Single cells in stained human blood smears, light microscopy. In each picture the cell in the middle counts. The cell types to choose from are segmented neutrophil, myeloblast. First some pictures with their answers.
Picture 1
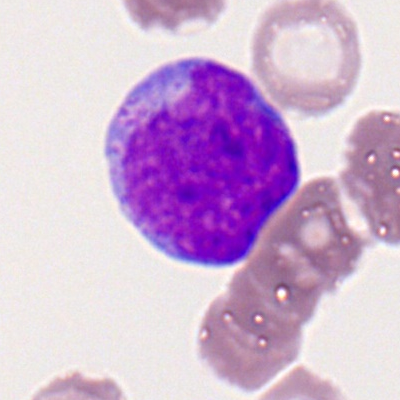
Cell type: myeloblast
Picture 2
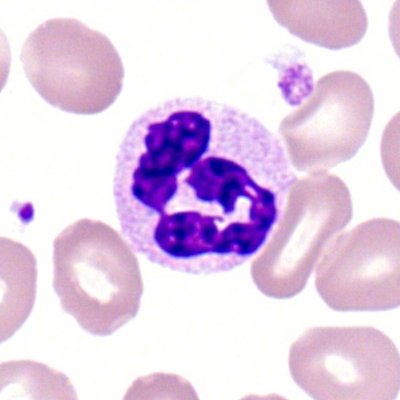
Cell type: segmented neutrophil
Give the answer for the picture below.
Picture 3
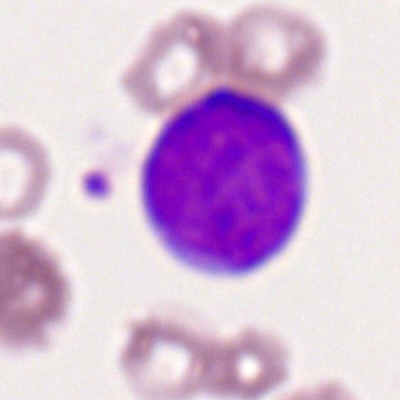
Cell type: myeloblast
